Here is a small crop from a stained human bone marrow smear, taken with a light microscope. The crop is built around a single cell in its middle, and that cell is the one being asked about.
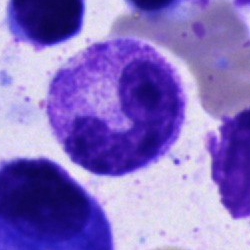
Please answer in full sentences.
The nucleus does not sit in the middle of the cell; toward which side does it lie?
It is shifted toward the lower right of the cell.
